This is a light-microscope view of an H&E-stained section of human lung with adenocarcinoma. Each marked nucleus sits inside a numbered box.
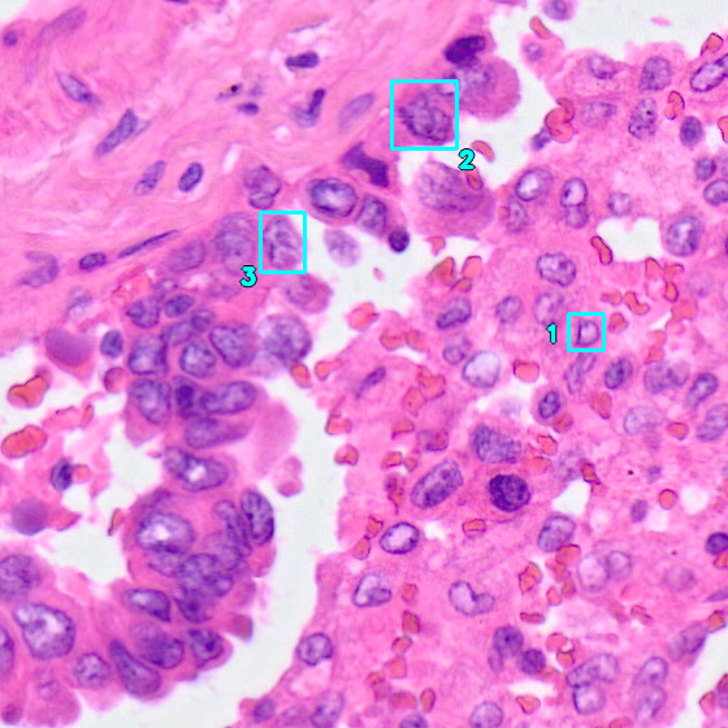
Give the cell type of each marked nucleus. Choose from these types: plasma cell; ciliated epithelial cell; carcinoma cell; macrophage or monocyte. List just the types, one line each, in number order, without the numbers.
macrophage or monocyte
carcinoma cell
carcinoma cell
